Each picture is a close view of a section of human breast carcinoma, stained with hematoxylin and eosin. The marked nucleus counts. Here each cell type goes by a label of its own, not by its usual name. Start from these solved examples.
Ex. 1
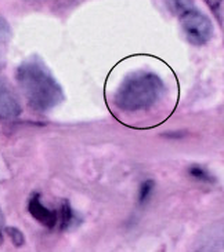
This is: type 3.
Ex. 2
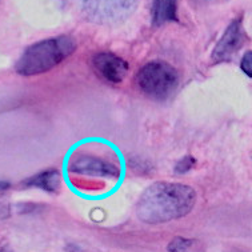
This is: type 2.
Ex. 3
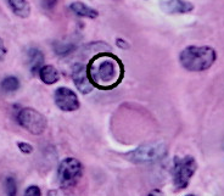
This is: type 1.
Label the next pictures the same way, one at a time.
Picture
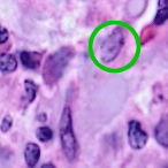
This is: type 2.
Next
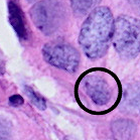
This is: type 3.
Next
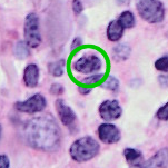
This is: type 1.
